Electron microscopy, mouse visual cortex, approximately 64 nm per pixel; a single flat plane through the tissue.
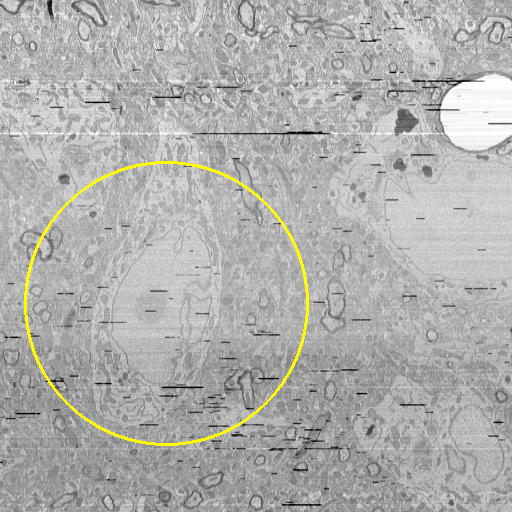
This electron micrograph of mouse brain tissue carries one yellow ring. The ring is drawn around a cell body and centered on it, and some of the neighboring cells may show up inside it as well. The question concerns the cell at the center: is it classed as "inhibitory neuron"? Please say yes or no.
Yes, it is classed that way.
